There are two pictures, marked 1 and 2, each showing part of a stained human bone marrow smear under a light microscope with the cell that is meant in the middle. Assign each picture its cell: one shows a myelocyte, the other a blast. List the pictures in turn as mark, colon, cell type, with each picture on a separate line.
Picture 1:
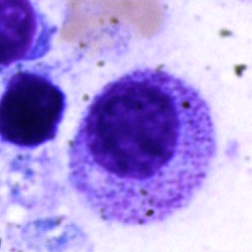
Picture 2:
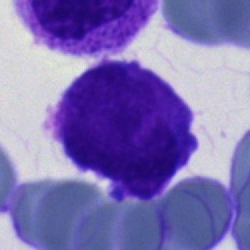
1: myelocyte
2: blast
